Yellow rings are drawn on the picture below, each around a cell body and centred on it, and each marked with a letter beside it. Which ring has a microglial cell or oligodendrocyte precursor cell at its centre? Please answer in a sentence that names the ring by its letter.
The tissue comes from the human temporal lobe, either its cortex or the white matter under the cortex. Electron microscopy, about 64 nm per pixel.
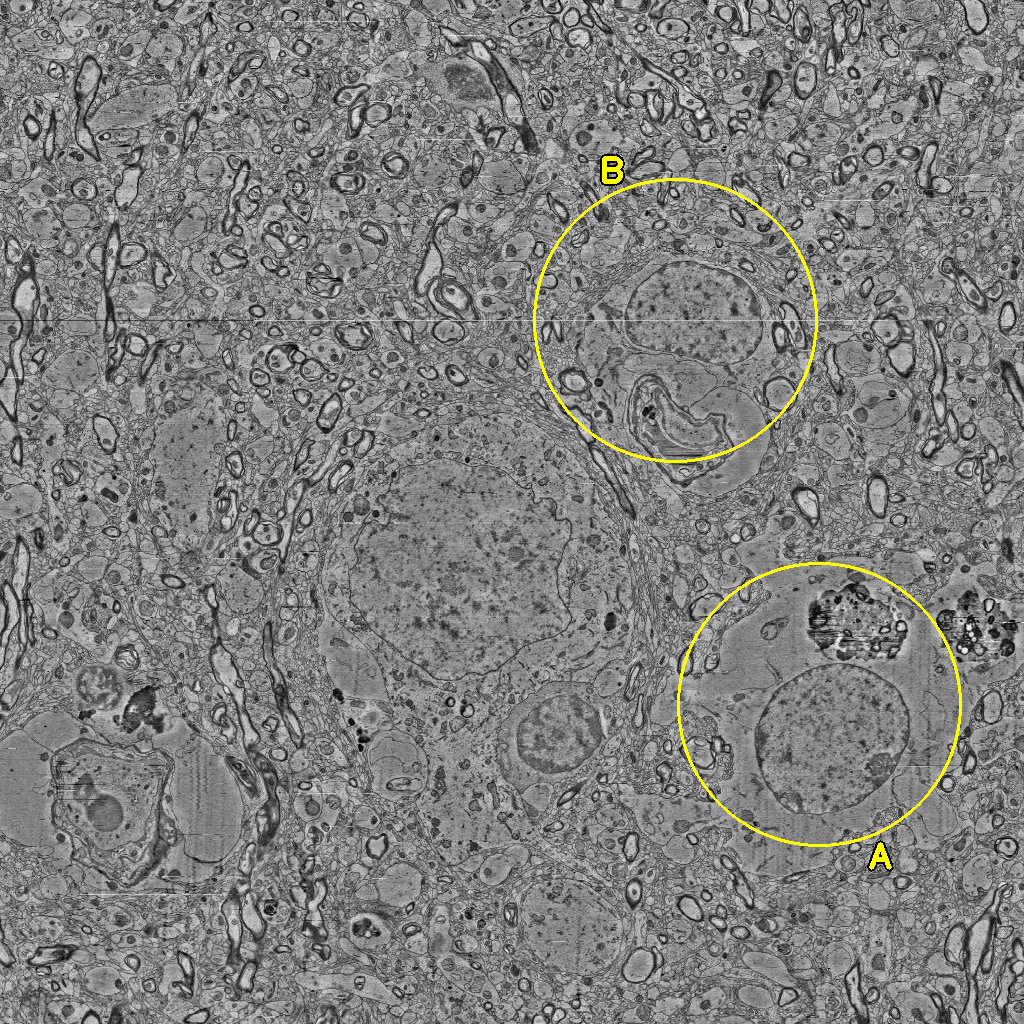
That is ring B.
